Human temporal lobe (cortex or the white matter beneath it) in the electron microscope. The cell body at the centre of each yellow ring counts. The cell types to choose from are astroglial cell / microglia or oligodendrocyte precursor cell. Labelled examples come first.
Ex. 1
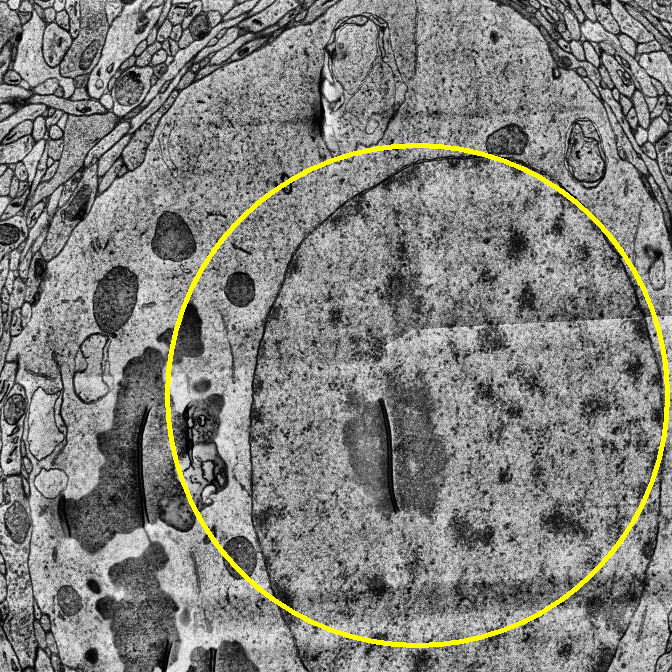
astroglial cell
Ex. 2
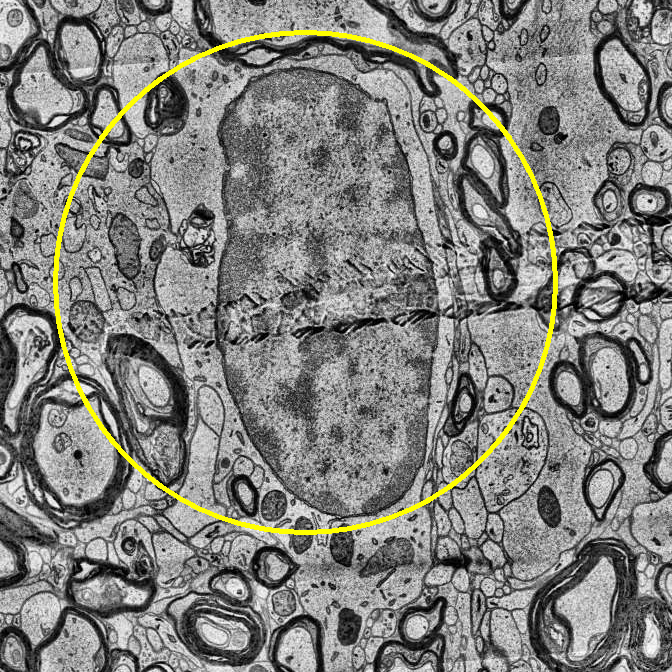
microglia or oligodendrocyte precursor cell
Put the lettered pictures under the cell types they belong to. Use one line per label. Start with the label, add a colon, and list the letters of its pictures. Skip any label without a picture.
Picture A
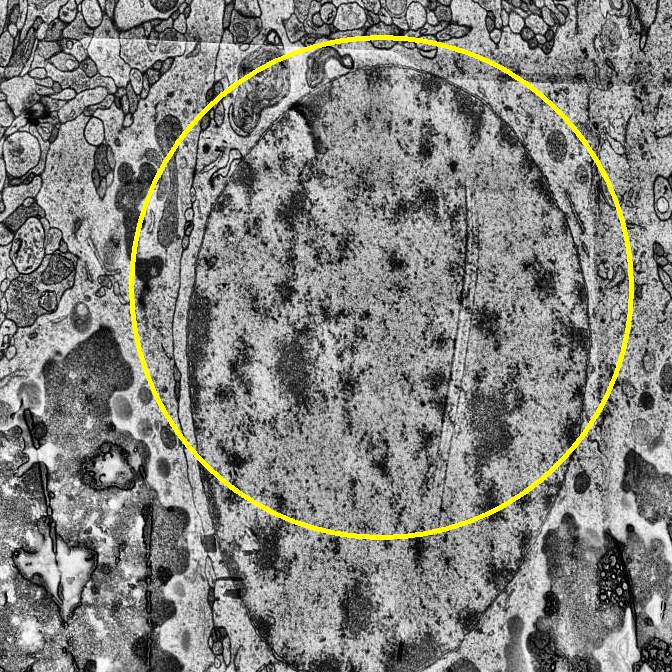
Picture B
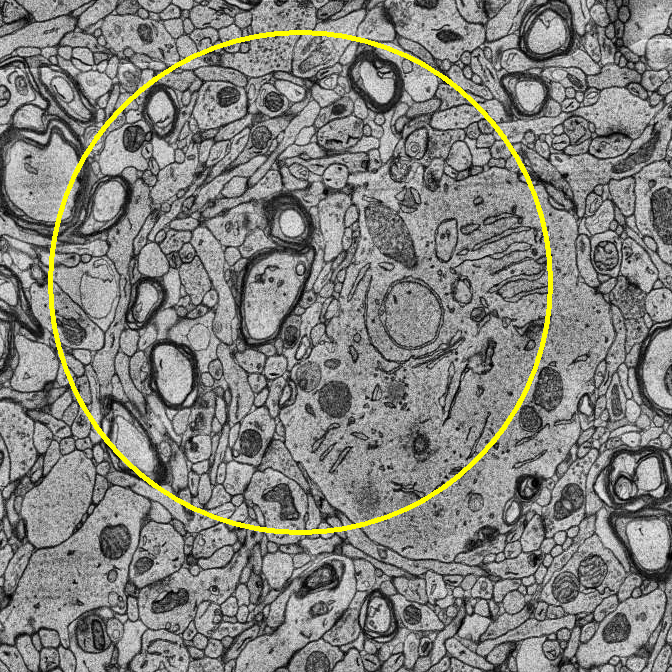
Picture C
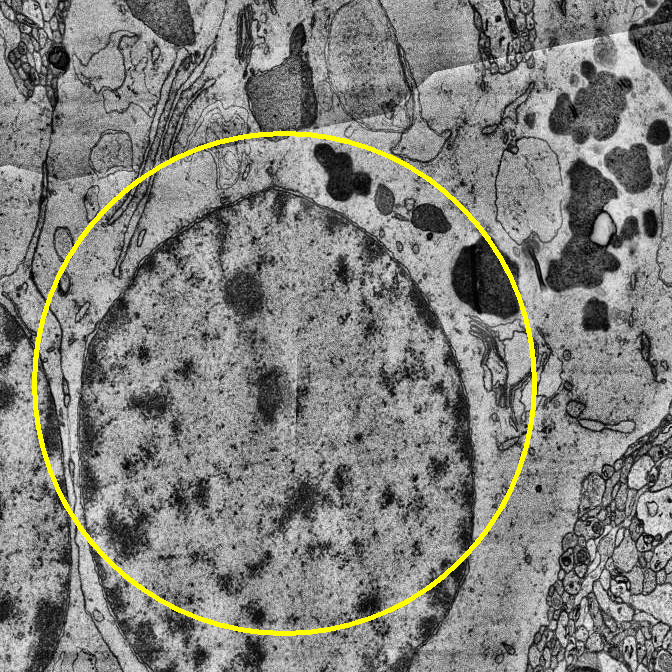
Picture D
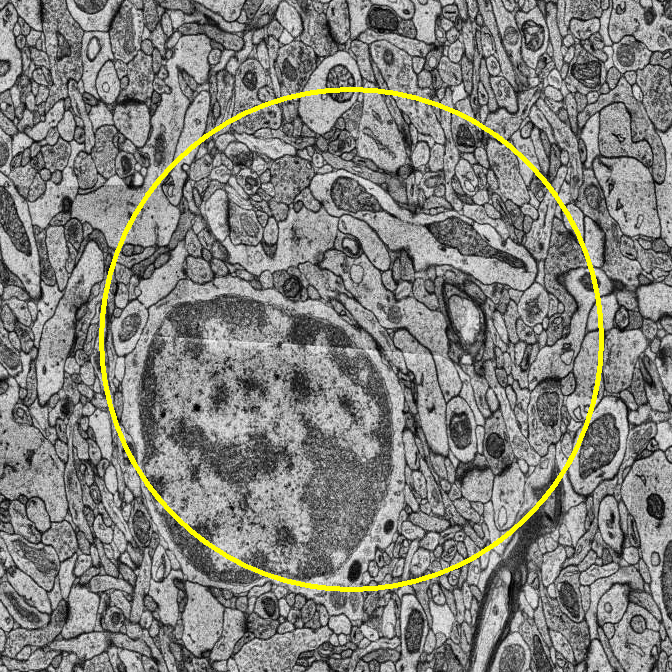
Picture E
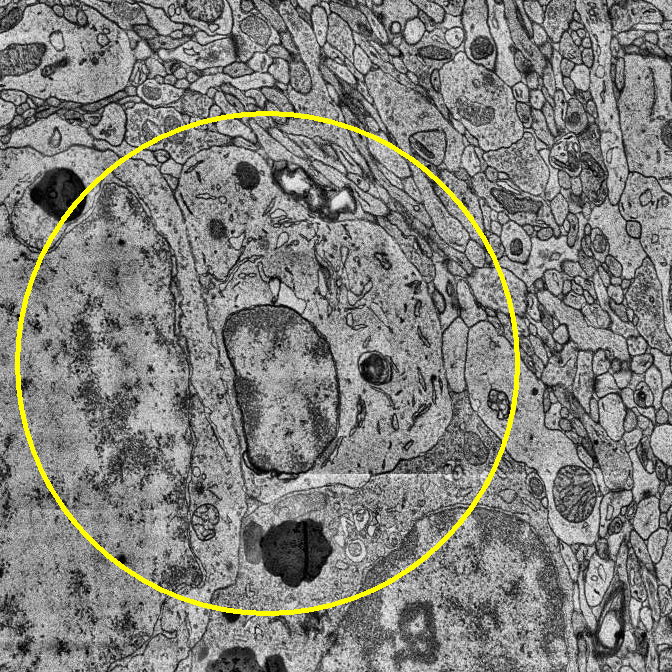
astroglial cell: A, C
microglia or oligodendrocyte precursor cell: B, D, E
